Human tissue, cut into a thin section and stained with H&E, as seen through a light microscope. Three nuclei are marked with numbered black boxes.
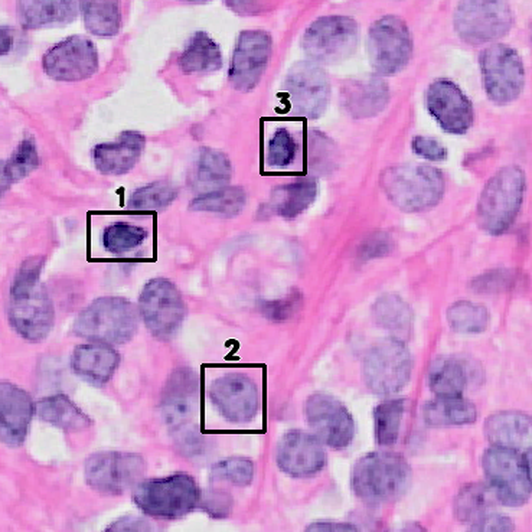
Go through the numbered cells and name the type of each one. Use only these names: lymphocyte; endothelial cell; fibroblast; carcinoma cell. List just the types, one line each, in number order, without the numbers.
lymphocyte
carcinoma cell
lymphocyte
